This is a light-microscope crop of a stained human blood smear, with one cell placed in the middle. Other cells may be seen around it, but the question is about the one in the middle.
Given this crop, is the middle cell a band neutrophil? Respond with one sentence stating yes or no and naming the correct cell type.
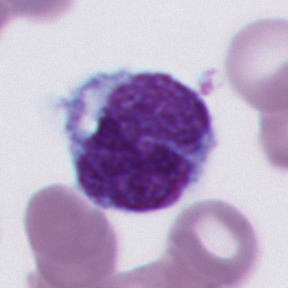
No, the cell sitting in the middle is a monocyte, and it is not a band neutrophil.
